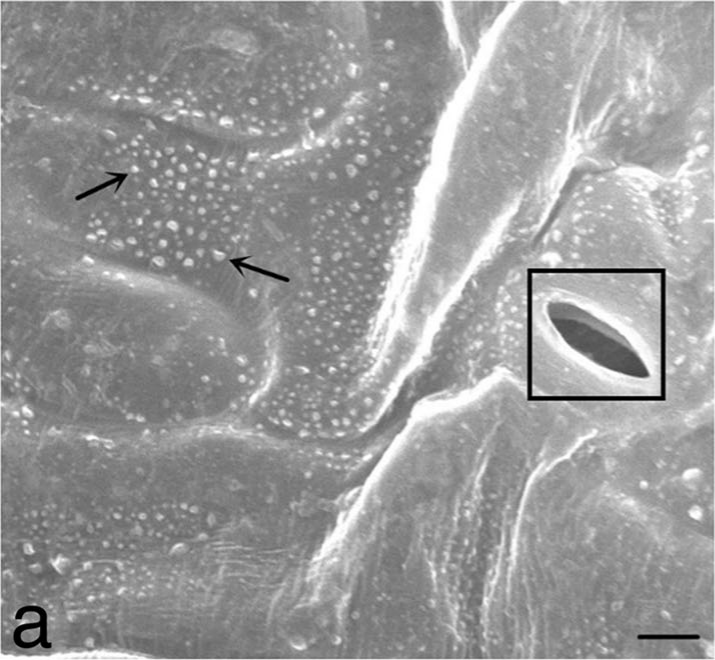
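The pavement cells are large, irregular and lobed, with raised, rounded outlines separated by grooves along their borders. Many of them are dotted with small bright granules scattered thickly over the surface; these are wax crystals sitting on the cuticle. To the right lies a stoma: an elliptical pore framed by two curved guard cells, whose rims form a smooth raised lip around the dark opening. Faint creases and folds run across the surface between the cells.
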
